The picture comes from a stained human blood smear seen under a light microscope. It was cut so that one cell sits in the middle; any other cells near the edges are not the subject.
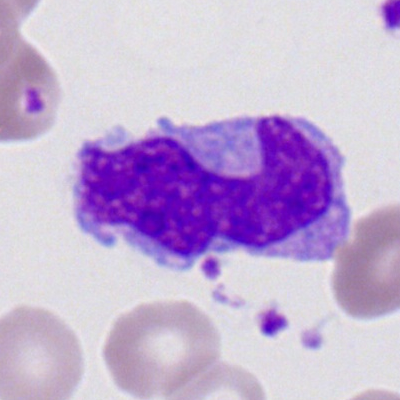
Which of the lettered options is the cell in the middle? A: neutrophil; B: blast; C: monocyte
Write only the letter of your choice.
C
